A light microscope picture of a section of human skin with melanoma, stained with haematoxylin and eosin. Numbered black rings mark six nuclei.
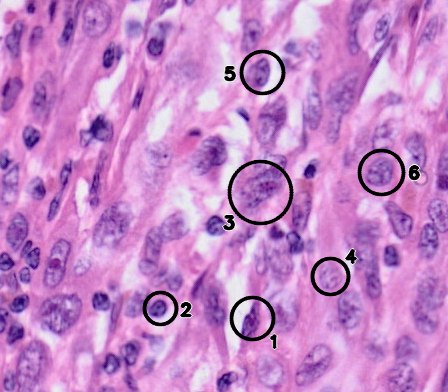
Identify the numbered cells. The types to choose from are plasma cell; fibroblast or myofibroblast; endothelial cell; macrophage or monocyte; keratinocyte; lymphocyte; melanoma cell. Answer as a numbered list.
1. melanoma cell
2. lymphocyte
3. melanoma cell
4. melanoma cell
5. macrophage or monocyte
6. melanoma cell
